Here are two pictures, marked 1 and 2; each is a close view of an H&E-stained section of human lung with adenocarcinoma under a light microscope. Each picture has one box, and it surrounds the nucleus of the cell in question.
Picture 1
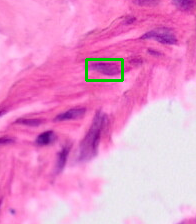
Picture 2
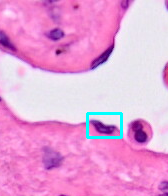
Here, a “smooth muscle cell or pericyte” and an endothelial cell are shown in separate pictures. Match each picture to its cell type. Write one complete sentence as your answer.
The cell in picture 1 is a “smooth muscle cell or pericyte”, and the one in picture 2 is an endothelial cell.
